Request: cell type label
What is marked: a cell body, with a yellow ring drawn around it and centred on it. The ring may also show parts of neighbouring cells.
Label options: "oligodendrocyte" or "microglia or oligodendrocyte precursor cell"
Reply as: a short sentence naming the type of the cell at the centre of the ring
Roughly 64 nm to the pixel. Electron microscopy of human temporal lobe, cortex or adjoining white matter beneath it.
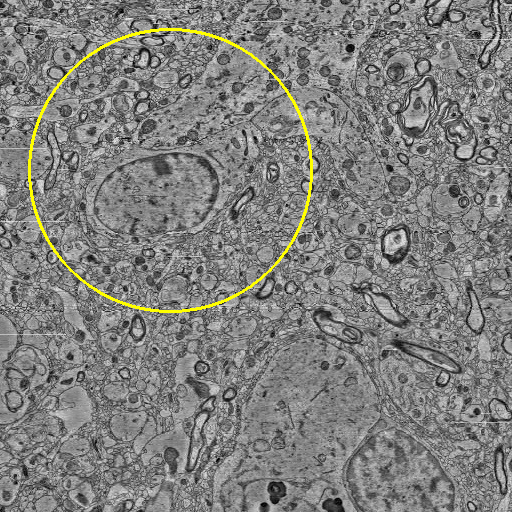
The marked cell body is that of a microglial cell or oligodendrocyte precursor cell.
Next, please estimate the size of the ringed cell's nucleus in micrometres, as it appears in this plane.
The nucleus measures about 8 by 5 micrometres, so it is clearly longer than it is wide in this plane.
